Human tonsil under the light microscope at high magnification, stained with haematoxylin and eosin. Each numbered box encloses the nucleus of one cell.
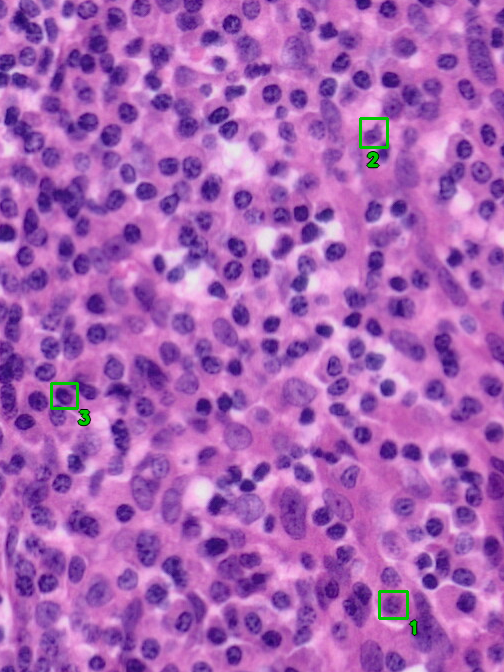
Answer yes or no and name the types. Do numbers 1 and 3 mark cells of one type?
Yes, each of the two cells, 1 and 3, is among the plasma cells.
